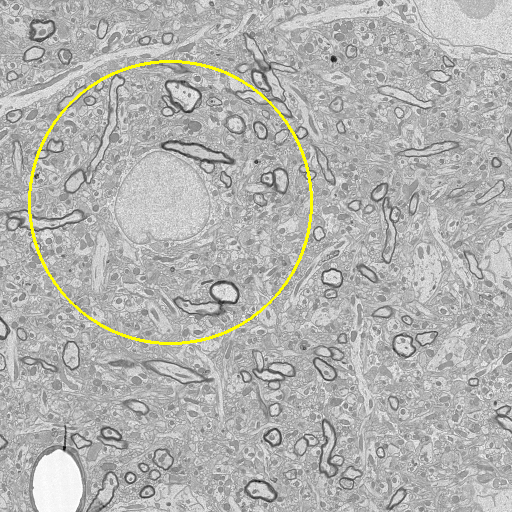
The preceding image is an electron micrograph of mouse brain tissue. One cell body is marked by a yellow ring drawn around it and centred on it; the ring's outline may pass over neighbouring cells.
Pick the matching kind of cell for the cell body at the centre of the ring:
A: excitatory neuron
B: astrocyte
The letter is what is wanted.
B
